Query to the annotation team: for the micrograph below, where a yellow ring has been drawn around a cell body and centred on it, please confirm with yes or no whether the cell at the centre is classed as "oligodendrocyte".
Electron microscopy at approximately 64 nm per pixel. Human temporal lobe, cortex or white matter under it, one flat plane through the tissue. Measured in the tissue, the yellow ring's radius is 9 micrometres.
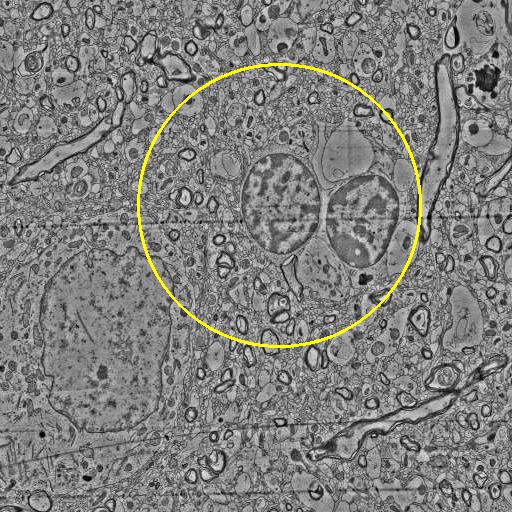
Yes, it is classed that way.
